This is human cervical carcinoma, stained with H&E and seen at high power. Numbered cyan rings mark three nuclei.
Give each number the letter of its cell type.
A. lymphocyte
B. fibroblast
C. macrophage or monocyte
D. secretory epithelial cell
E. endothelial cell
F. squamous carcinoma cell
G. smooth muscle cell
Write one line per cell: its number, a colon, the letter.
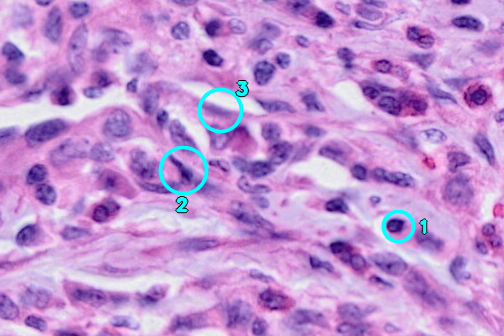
1: A
2: A
3: E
